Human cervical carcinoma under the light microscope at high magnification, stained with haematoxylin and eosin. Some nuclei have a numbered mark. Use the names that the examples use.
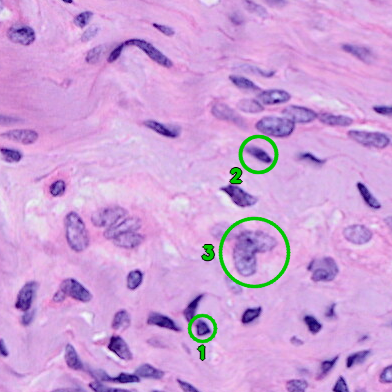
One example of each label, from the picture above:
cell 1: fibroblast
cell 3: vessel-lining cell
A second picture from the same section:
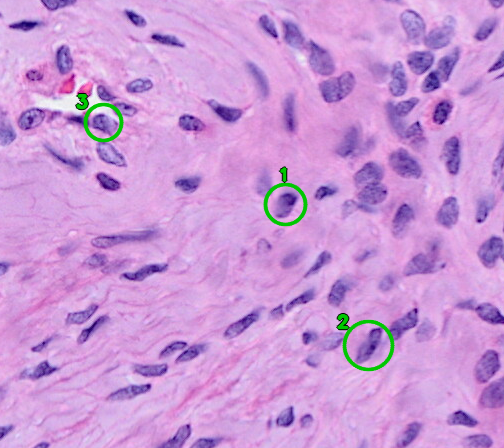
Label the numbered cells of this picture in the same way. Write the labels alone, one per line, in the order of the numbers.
fibroblast
fibroblast
vessel-lining cell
